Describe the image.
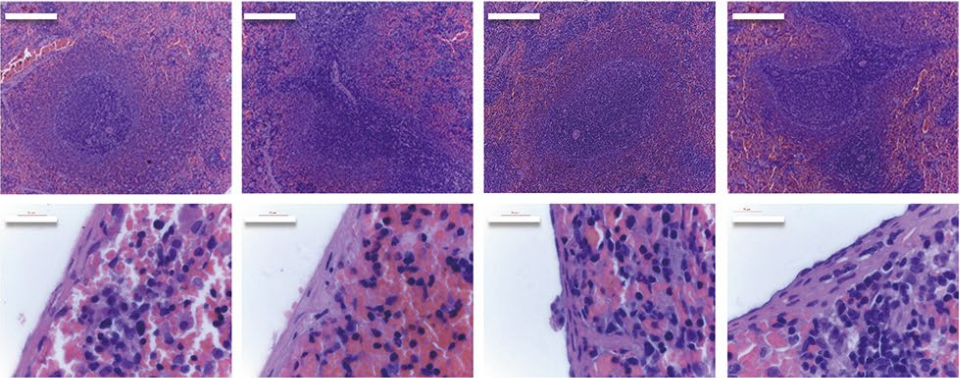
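In each low-power field a dense purple nodule of small, darkly staining lymphocytes surrounds a small central vessel, set within pink, blood-filled tissue; at high power a thin pink fibrous layer lines the edge, and beneath it small round dark nuclei lie scattered among red blood cells. These are white pulp follicles of the spleen with their marginal zone, and red pulp under the capsule.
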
